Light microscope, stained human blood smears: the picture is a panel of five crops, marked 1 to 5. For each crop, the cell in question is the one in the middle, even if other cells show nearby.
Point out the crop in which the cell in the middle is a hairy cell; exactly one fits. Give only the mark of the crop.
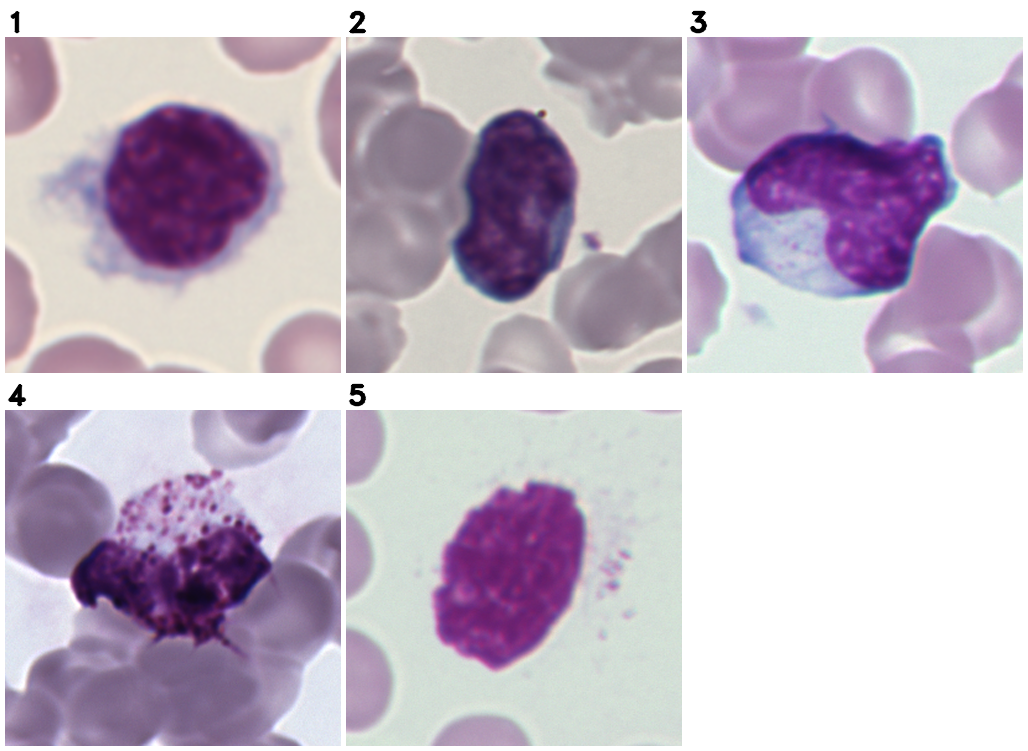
1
